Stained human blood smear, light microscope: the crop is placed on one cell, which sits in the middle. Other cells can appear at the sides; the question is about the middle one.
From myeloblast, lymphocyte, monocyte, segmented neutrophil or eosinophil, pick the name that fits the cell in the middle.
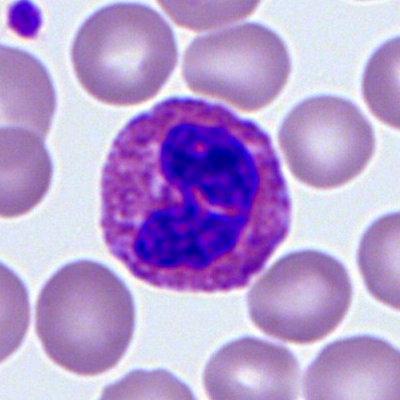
eosinophil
